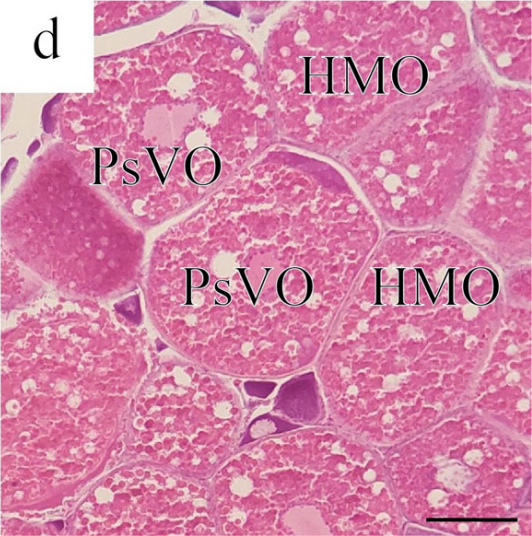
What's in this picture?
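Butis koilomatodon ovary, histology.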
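Large rounded-polygonal oocytes occupy nearly the whole field, each packed with pink granular yolk and dotted with small clear round vacuoles. A thin pale envelope outlines each oocyte where they press against one another. One oocyte at the left is a deeper, more uniform pink. Small purple, less mature cells are squeezed into the narrow gaps between the large oocytes.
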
